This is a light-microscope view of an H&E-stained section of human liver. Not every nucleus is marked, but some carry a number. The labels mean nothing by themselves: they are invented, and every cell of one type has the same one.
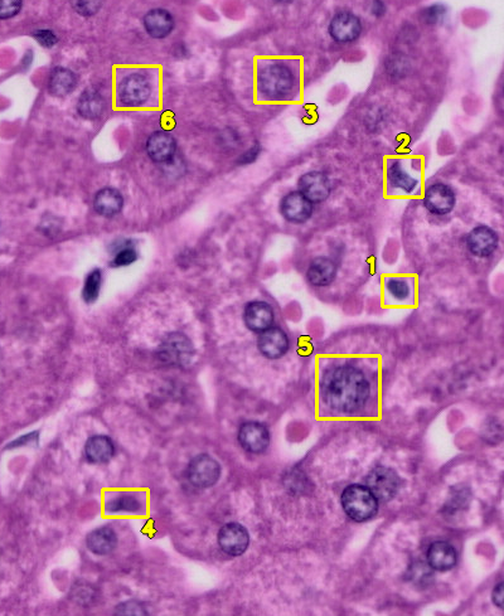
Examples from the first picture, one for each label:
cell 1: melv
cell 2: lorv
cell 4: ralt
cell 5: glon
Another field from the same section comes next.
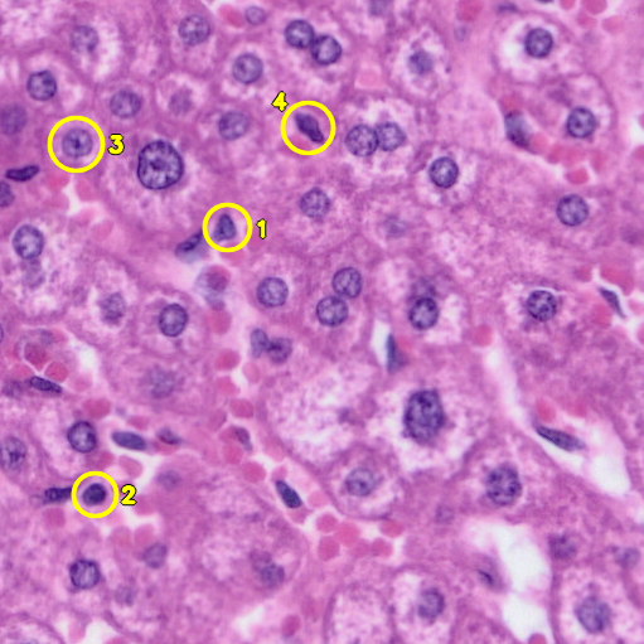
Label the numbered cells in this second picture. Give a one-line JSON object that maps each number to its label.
{"1": "melv", "2": "melv", "3": "glon", "4": "lorv"}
